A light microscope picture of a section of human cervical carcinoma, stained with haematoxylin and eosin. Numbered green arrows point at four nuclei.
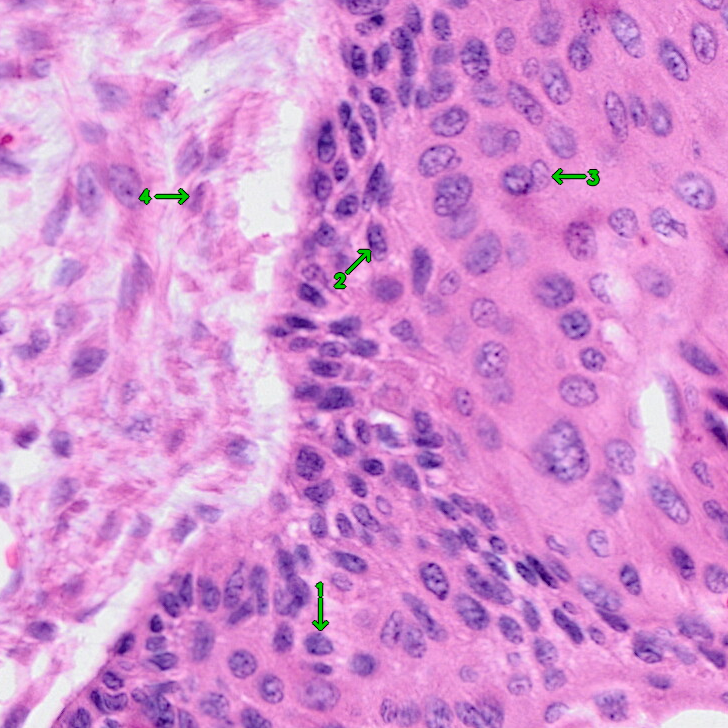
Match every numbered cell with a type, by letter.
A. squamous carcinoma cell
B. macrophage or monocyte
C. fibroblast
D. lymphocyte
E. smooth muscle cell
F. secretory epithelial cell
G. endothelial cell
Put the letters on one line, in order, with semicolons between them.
A; A; A; C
